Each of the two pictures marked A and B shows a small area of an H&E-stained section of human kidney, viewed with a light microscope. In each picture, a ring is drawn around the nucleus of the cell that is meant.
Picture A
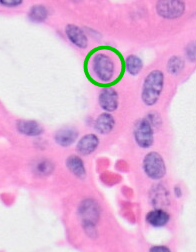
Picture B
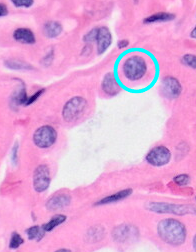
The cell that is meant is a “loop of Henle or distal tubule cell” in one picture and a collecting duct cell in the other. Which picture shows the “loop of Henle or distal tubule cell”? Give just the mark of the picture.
B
